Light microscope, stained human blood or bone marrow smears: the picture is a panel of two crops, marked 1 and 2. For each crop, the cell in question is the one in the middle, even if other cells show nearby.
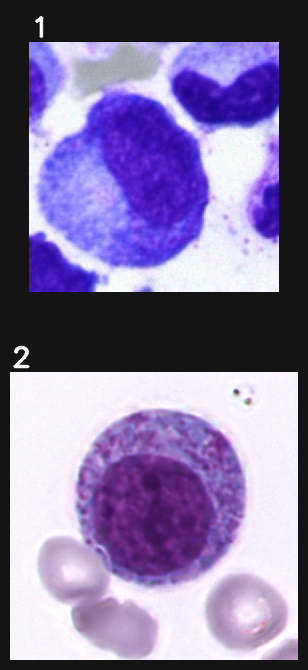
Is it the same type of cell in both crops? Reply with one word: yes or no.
yes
